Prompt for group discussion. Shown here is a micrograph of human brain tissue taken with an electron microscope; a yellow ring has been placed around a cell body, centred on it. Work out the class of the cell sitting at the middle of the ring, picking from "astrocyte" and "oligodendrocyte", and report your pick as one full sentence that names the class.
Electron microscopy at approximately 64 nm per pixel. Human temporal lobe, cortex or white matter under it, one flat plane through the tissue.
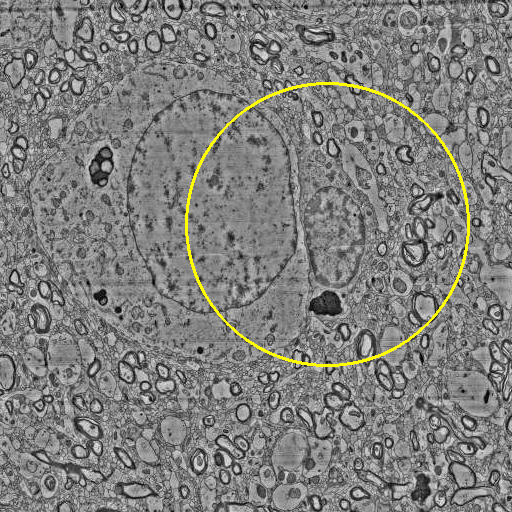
The cell sitting at the middle of the yellow ring is an oligodendrocyte.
